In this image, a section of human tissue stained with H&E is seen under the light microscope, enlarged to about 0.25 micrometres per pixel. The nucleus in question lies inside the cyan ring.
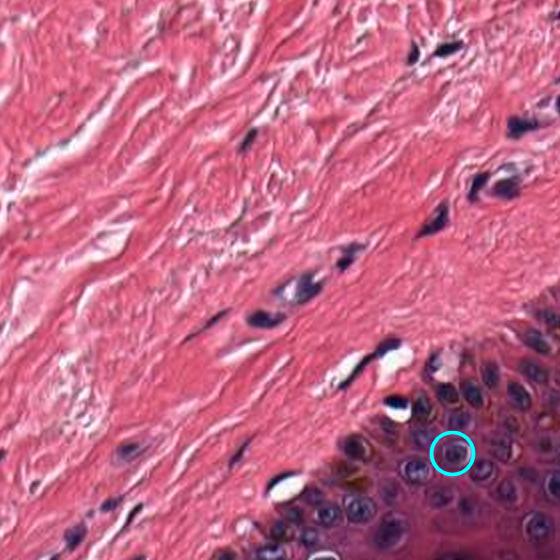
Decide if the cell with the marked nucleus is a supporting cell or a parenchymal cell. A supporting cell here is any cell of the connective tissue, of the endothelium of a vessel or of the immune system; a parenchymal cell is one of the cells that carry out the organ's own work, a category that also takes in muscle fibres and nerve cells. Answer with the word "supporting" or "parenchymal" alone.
parenchymal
